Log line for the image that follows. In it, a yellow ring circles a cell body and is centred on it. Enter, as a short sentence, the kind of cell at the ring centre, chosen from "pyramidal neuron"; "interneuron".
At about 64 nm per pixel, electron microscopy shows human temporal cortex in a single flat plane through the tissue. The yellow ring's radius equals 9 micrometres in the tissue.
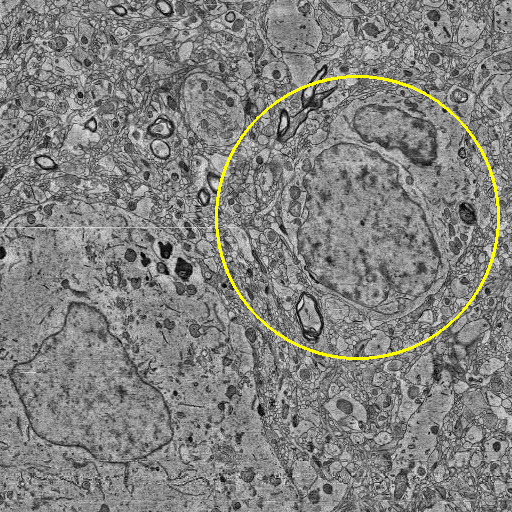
The ring centre is occupied by an interneuron.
